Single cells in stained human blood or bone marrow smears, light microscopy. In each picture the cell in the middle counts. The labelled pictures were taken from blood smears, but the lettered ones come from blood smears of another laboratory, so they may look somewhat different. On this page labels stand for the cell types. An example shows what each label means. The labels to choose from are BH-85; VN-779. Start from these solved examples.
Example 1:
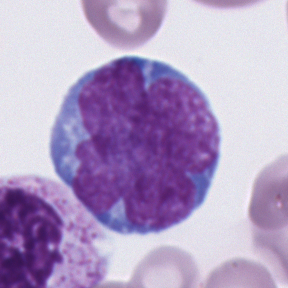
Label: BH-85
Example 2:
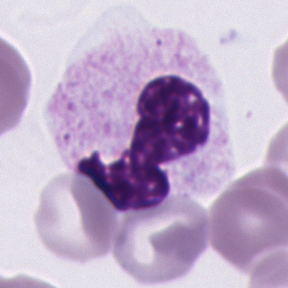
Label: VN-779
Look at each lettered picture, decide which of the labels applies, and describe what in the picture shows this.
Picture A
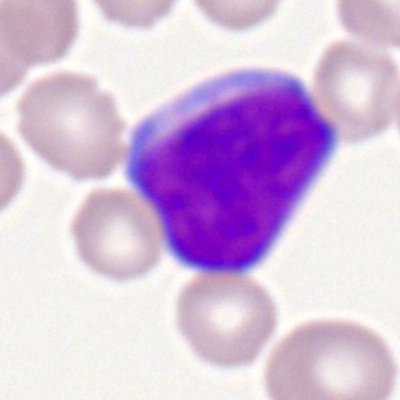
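BH-85: The nucleus fills most of the cell.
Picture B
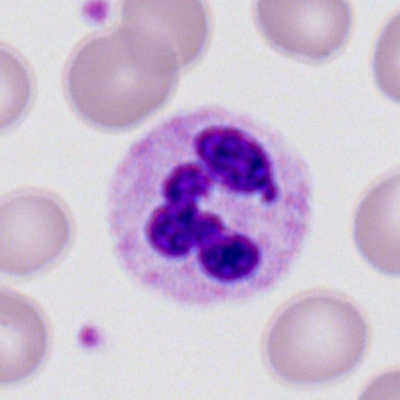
VN-779: The cytoplasm is plentiful and pale pinkish-lilac.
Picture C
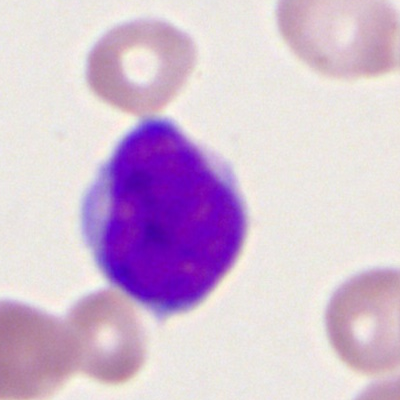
BH-85: The nucleus is a single unlobed mass that fills most of the cell.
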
